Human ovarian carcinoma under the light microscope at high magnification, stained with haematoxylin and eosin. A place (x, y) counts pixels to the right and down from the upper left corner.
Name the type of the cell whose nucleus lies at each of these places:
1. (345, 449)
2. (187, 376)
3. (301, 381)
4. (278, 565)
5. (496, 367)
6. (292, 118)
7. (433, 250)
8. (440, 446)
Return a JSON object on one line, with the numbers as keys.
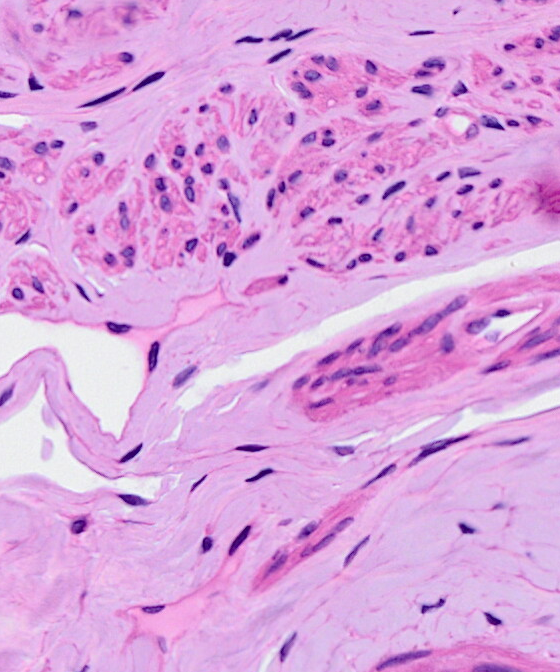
{"1": "fibroblast", "2": "fibroblast", "3": "smooth muscle cell", "4": "smooth muscle cell", "5": "smooth muscle cell", "6": "smooth muscle cell", "7": "smooth muscle cell", "8": "fibroblast"}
